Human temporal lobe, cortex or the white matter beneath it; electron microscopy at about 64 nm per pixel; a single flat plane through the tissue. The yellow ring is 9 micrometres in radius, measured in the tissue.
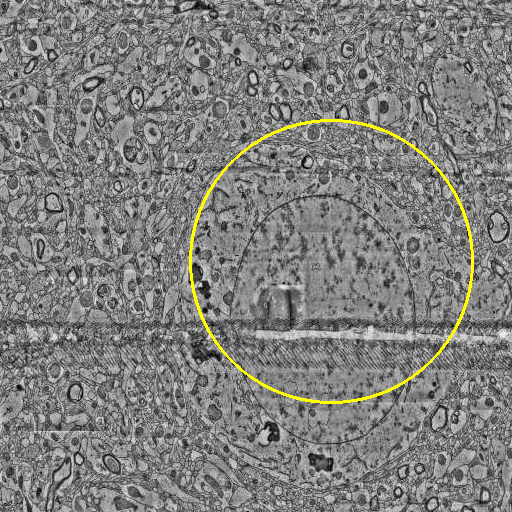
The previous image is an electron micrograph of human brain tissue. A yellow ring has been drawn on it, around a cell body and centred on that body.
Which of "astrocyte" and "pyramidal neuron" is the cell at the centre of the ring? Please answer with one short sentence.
The cell body at the centre of the ring belongs to a pyramidal neuron.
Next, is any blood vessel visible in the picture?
No, no vessel appears in the picture.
